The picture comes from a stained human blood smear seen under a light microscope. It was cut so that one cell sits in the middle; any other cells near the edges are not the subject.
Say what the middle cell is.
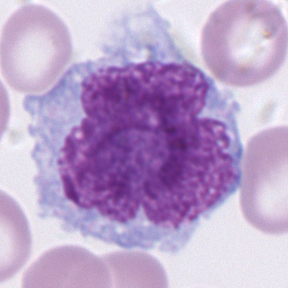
monocyte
